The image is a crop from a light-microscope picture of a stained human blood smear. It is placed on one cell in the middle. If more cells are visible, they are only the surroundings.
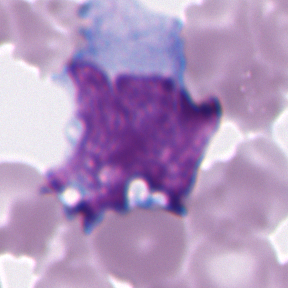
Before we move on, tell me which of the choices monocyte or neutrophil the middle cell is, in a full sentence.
To answer, the cell in the center of the crop is a monocyte.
